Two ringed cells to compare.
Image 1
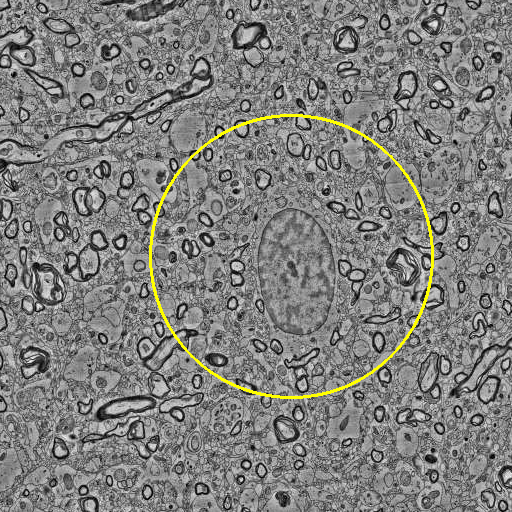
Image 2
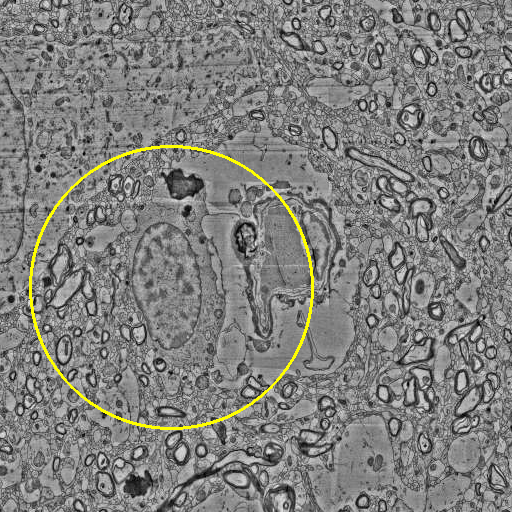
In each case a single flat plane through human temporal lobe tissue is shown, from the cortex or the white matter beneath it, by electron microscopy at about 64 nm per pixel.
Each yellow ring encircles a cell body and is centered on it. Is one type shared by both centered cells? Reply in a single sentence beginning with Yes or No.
Yes, a single type is shared by the two cells at the centers of the rings.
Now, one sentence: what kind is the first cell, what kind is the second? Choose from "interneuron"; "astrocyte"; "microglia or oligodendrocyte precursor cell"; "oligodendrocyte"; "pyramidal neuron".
The cell at the ring centre is an oligodendrocyte in both pictures.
